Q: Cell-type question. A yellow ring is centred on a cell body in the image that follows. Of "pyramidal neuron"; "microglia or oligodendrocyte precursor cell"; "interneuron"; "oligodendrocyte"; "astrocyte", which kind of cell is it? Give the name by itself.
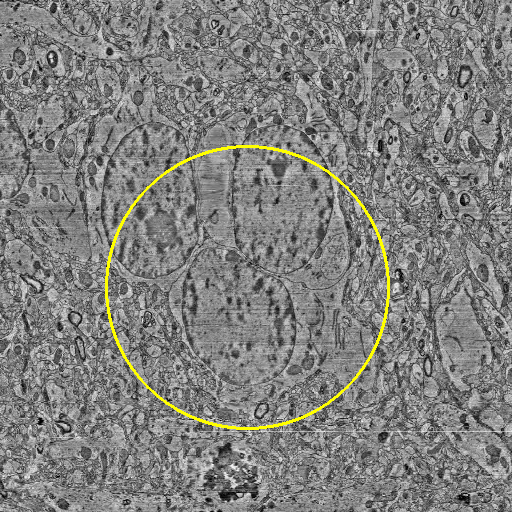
astrocyte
